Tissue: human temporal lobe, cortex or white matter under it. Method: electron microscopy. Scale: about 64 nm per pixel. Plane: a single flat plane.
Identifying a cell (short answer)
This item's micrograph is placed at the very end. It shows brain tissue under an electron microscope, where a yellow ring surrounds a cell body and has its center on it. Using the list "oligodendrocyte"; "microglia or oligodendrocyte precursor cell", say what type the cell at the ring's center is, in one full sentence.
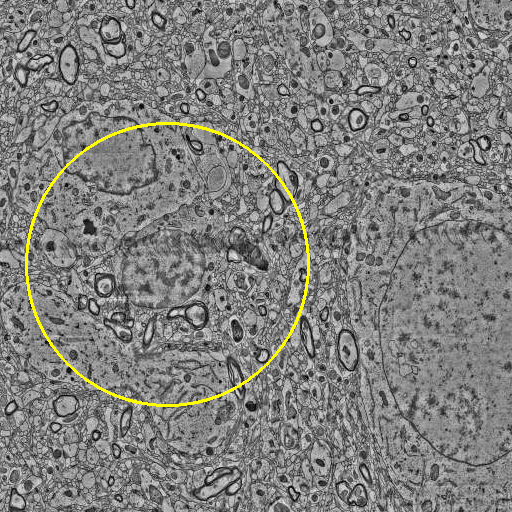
This picture shows an oligodendrocyte at the center of the yellow ring drawn on it.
